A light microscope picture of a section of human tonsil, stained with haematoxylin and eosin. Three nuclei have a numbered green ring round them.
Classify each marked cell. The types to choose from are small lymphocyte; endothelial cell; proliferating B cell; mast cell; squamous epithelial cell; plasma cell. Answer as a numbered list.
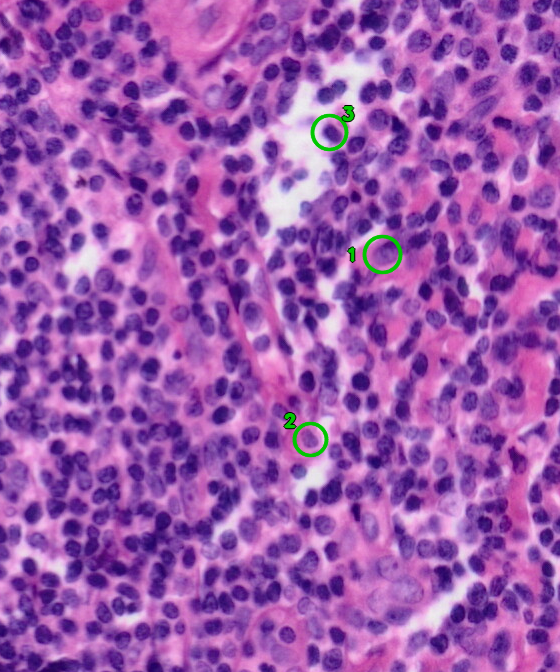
1. endothelial cell
2. endothelial cell
3. small lymphocyte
